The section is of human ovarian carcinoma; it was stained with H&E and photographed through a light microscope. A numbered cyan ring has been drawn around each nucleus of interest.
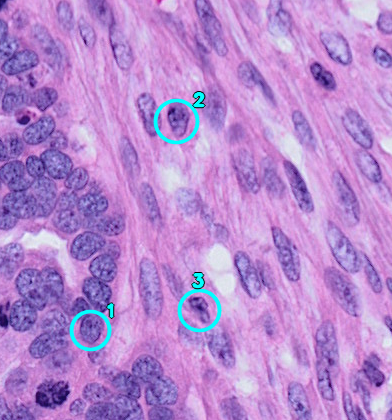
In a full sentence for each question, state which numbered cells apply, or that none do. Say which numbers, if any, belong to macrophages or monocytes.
The cell bearing the number 2 is a macrophage or monocyte, unlike the rest of the numbered cells.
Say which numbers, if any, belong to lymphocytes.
Only the cell with number 3 is a lymphocyte.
